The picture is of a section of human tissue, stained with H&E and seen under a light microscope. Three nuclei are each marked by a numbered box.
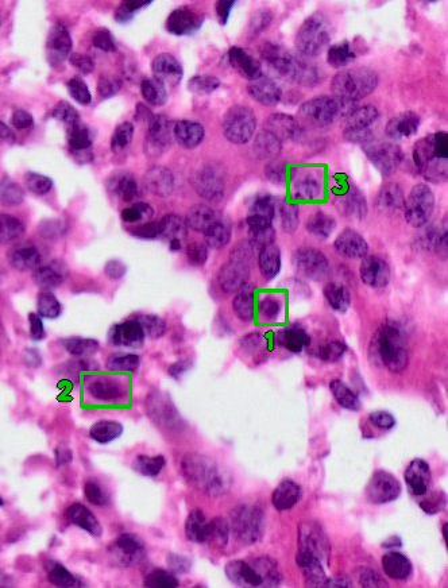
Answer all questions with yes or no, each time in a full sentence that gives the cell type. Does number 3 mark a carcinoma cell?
No, number 3 is assigned to a macrophage or monocyte, not to a carcinoma cell.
